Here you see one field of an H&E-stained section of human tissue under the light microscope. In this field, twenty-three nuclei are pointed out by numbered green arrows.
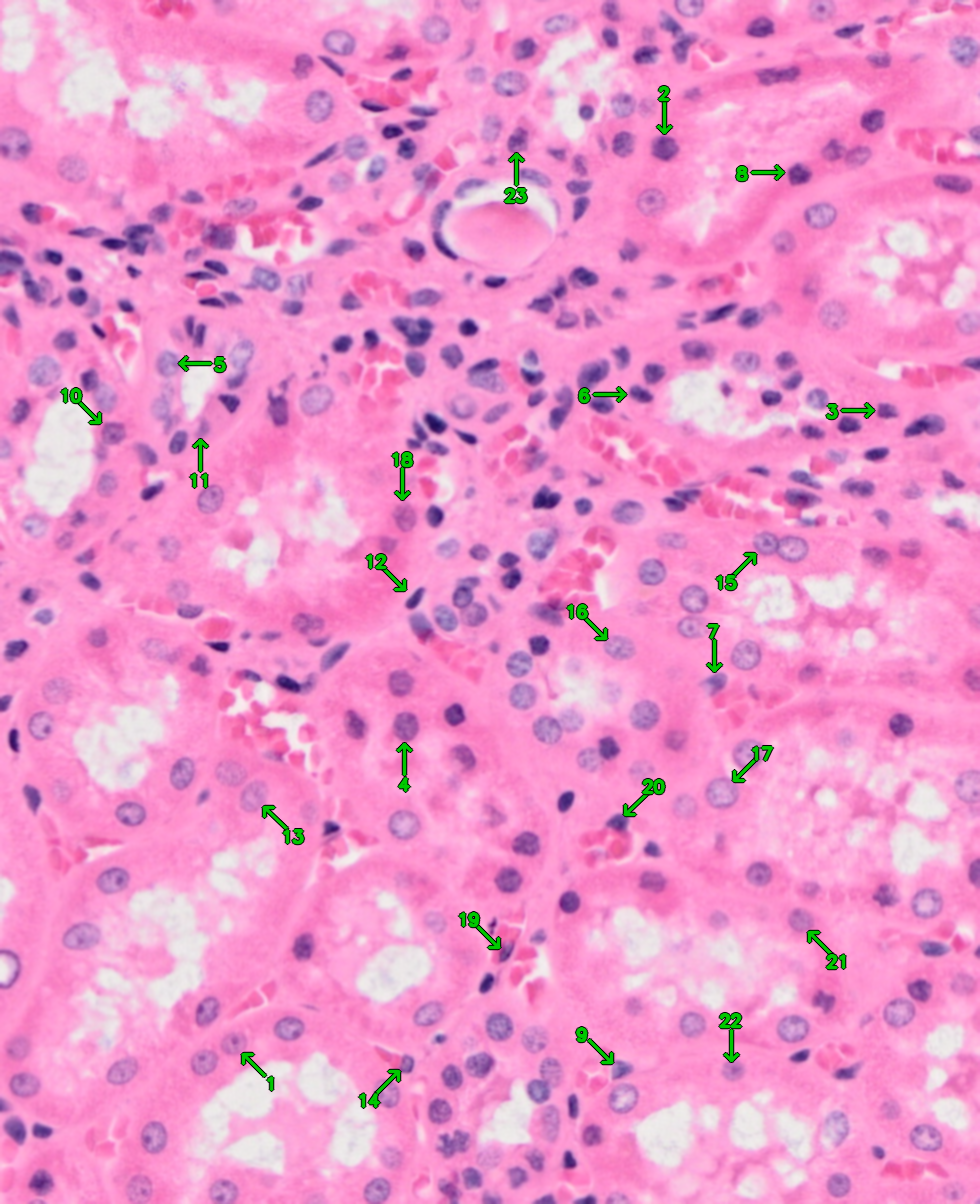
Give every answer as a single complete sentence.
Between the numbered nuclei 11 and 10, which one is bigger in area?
Nucleus 10 covers more area, about 3 times as much as nucleus 11.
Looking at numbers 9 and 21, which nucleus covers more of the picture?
Nucleus 21 covers more area, about 2 times as much as nucleus 9.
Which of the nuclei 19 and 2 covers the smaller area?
Number 19 is smaller, since number 2 takes up about 4 times as much area.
